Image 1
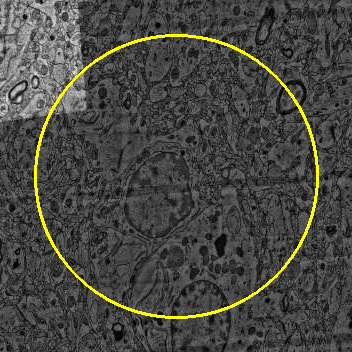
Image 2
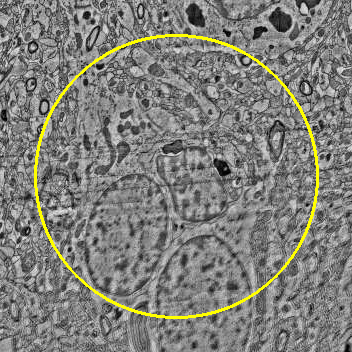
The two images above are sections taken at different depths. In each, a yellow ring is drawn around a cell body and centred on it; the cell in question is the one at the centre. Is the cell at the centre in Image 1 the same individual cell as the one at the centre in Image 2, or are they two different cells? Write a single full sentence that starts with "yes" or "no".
Yes, the two rings encircle a single cell, not a pair.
